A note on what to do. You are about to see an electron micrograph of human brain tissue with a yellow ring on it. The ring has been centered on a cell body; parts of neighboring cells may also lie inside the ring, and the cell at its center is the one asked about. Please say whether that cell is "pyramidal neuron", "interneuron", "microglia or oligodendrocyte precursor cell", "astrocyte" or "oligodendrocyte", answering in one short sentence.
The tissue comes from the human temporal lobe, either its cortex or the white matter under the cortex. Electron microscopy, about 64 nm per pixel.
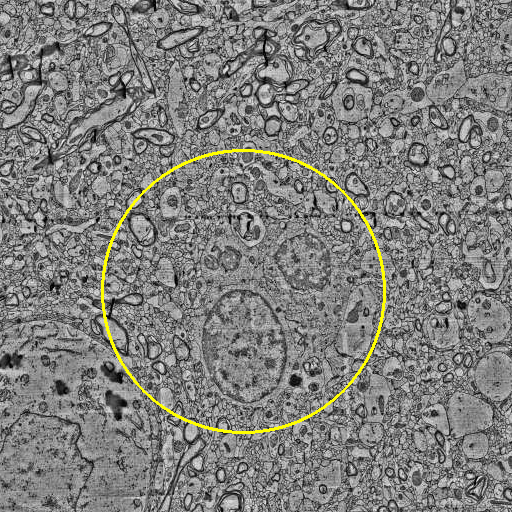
The yellow ring sits on an oligodendrocyte.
